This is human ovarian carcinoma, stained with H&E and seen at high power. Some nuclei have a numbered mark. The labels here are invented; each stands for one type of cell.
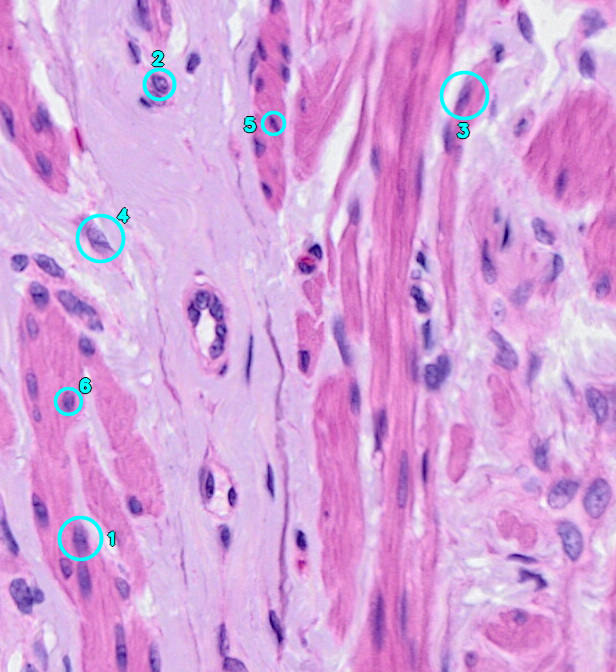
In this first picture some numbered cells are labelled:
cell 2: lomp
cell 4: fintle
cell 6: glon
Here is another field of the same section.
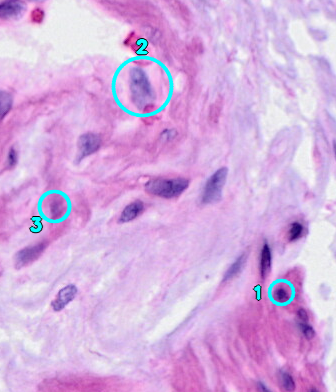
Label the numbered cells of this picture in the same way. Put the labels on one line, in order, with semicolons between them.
glon; lomp; glon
